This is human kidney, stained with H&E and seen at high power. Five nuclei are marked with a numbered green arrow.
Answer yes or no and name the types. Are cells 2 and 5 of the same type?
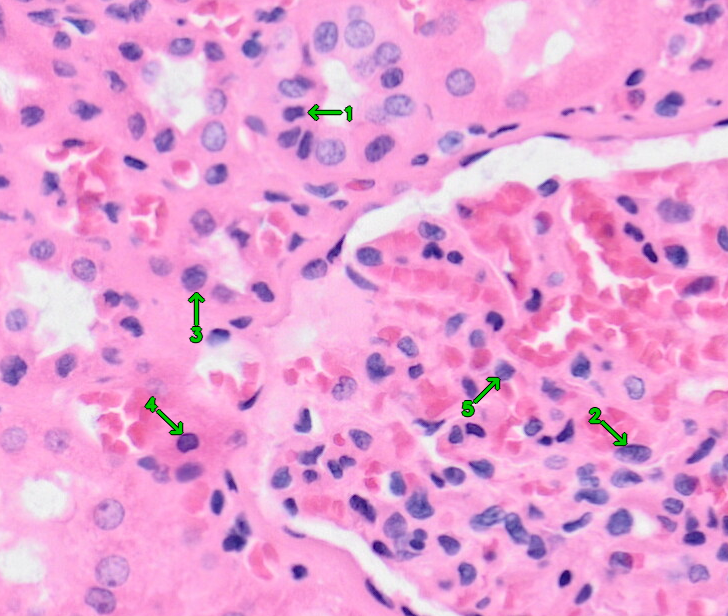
Yes, cells 2 and 5 are both recognised as endothelial cells.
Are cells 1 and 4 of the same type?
No, cell number 1 is a collecting duct cell, and cell number 4 is a proximal tubule cell.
